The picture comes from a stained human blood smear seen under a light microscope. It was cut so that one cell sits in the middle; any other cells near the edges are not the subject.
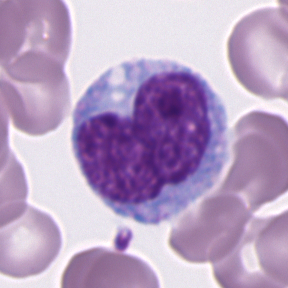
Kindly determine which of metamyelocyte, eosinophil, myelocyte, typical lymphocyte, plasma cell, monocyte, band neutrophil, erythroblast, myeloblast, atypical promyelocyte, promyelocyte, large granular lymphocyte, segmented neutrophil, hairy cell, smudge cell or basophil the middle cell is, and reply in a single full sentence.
The target cell in the middle of the crop is a monocyte.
